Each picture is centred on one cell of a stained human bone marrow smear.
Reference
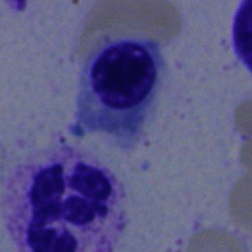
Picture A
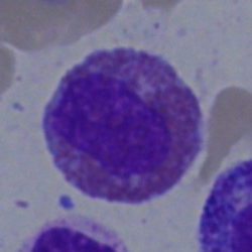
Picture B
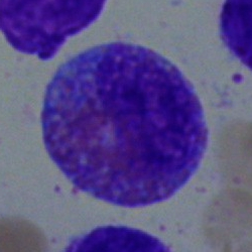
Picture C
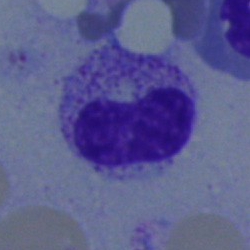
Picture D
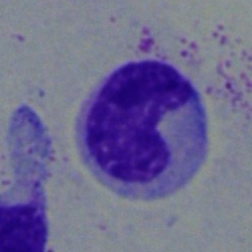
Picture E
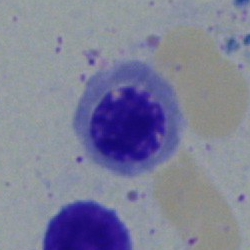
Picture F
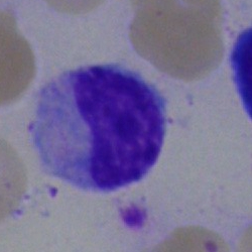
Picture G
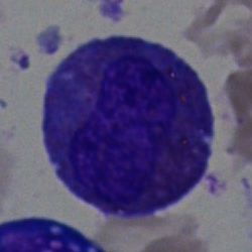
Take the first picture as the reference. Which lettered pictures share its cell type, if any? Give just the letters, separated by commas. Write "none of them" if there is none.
E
